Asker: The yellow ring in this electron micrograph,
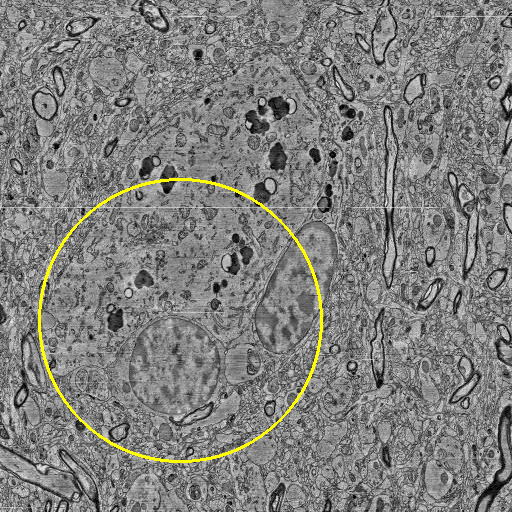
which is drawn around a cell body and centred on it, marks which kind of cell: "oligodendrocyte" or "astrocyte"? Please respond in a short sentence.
The marked cell is an oligodendrocyte.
